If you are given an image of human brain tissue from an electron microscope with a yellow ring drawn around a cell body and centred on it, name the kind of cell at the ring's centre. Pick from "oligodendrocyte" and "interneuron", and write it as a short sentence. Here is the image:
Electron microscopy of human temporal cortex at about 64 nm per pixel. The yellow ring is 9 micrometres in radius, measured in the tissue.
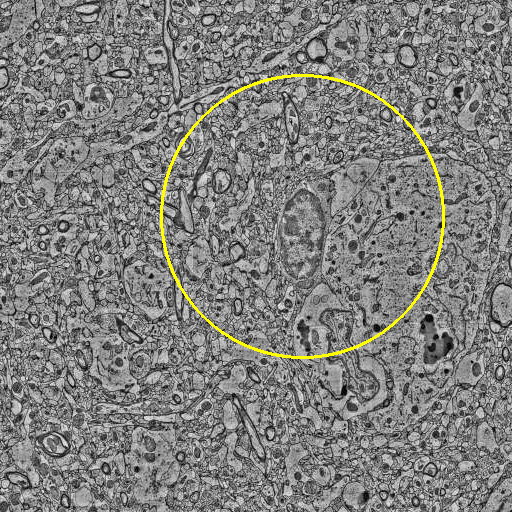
The cell at the ring's centre is an oligodendrocyte.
